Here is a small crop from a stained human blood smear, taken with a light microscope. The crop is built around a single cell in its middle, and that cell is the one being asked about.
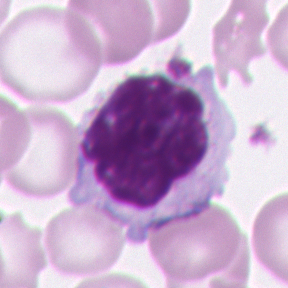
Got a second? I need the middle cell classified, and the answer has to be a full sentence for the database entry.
Located at the centre of the crop is a typical lymphocyte.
